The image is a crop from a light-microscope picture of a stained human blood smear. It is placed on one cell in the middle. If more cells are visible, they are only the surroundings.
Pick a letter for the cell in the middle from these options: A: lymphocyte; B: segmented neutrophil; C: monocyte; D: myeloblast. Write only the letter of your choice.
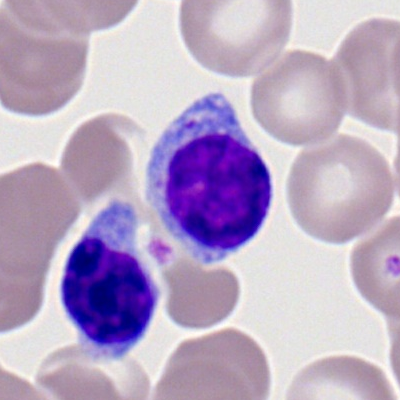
A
